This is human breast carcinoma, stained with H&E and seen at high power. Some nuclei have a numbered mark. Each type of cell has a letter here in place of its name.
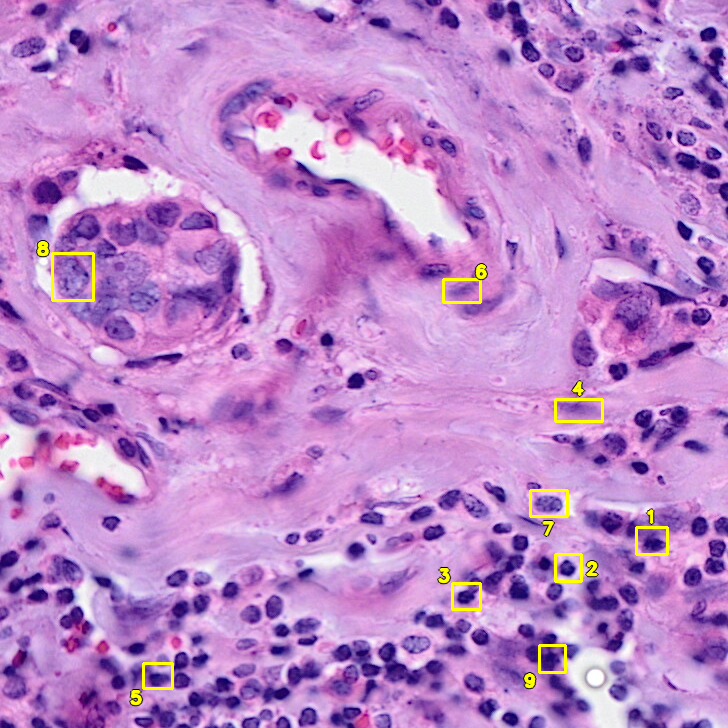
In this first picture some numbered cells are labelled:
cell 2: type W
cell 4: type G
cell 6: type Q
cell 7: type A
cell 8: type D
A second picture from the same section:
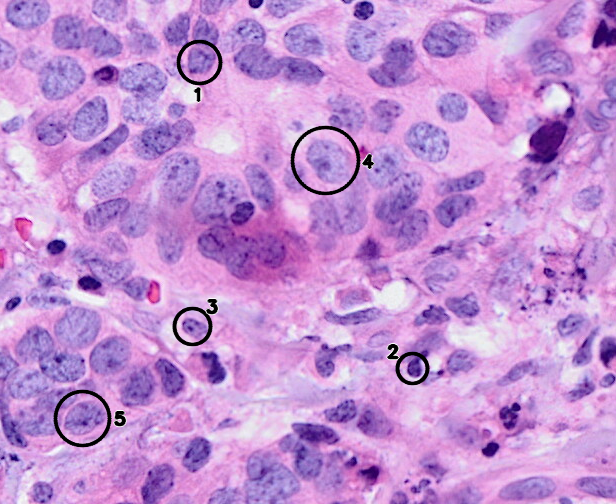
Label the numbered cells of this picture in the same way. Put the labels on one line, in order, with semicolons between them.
type D; type W; type A; type D; type D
